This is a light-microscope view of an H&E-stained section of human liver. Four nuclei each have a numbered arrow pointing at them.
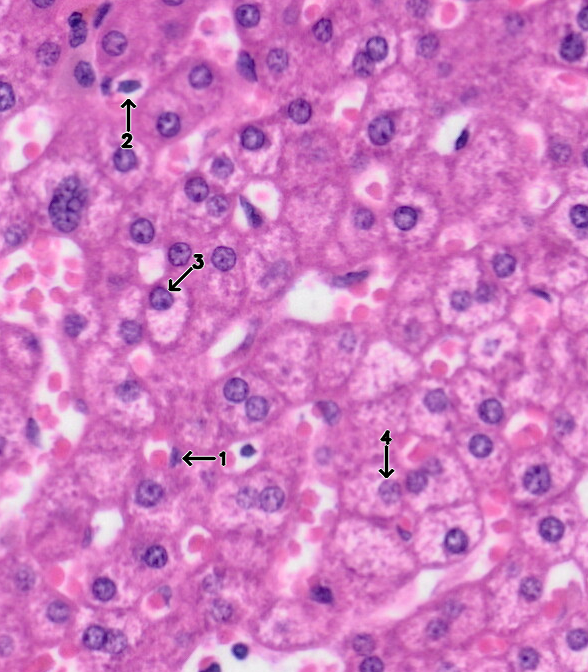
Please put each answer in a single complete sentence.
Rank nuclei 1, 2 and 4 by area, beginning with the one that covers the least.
Smallest first, the nuclei run 1, 2, 4.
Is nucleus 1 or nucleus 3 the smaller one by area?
With nucleus 3 about 2 times its size, nucleus 1 is the smaller of the two.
